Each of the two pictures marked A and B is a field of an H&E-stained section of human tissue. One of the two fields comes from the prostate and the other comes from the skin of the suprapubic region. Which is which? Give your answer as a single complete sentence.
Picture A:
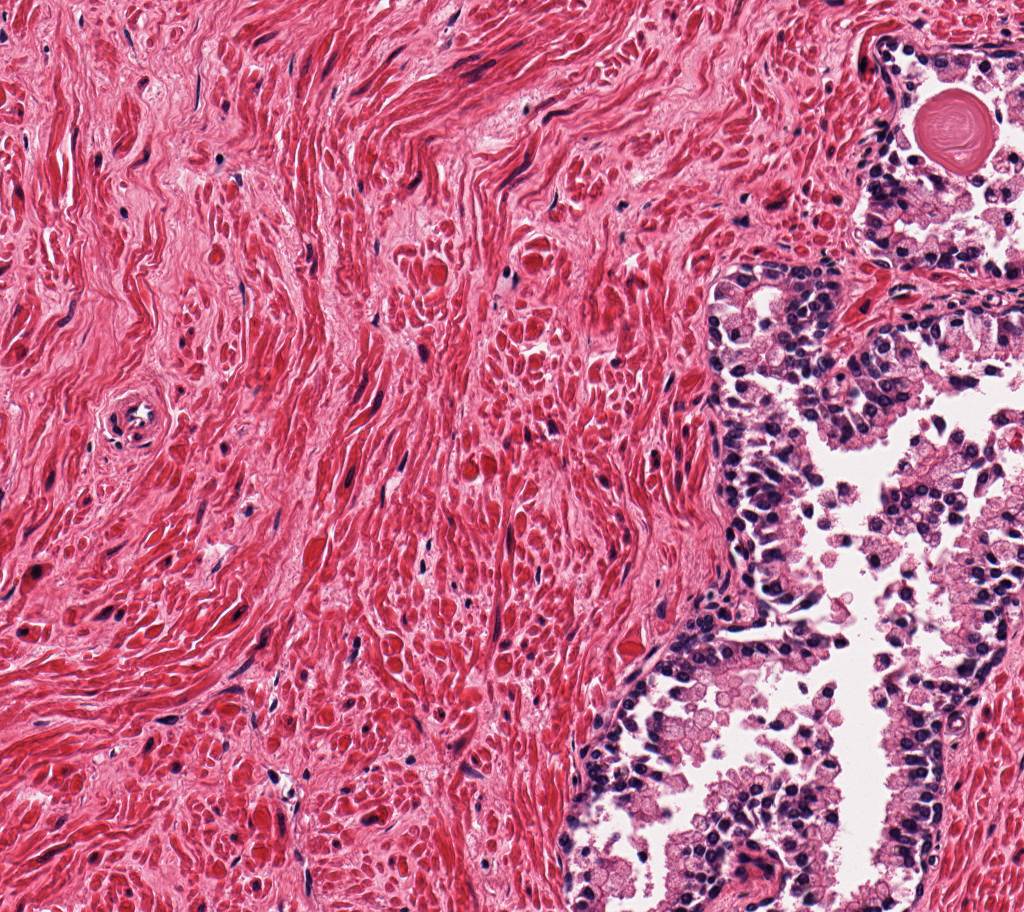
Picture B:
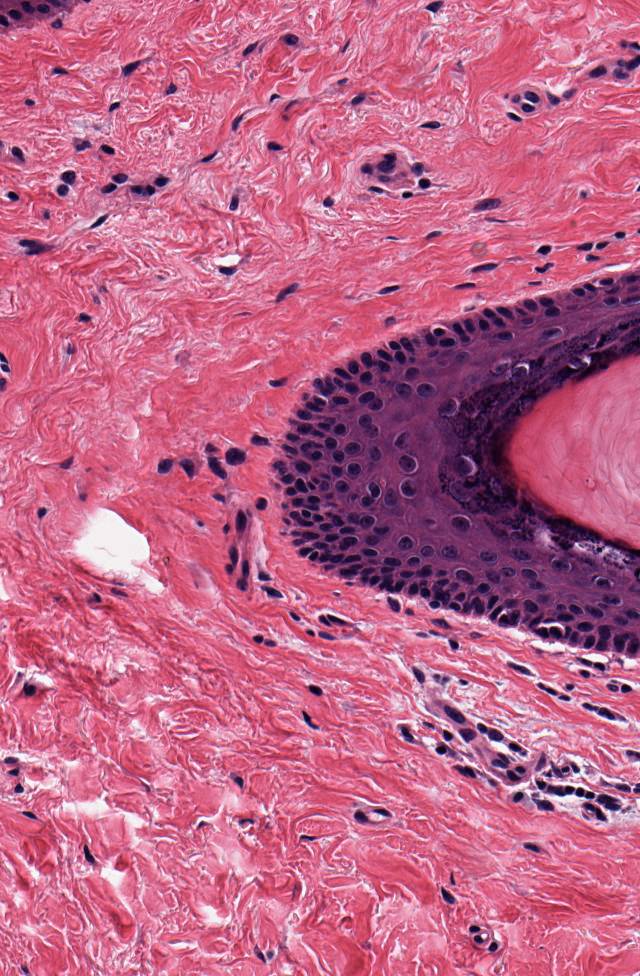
It is picture A that comes from the prostate, and picture B that comes from the skin of the suprapubic region.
